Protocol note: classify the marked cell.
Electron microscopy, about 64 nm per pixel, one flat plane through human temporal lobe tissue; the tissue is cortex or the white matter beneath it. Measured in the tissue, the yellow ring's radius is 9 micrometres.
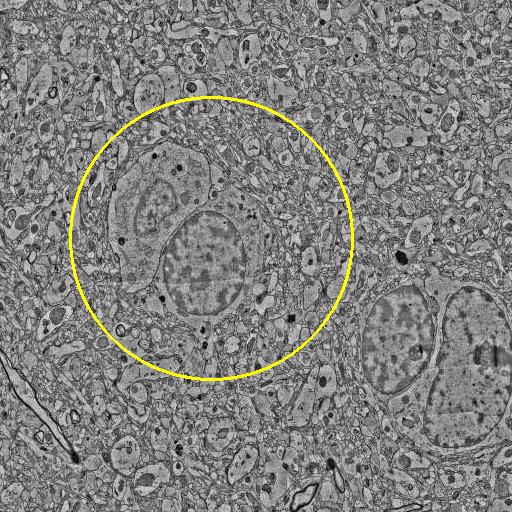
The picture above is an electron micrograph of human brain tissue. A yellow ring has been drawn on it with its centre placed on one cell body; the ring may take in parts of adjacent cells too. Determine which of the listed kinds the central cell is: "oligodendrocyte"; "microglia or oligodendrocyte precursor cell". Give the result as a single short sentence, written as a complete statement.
The central cell is an oligodendrocyte.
